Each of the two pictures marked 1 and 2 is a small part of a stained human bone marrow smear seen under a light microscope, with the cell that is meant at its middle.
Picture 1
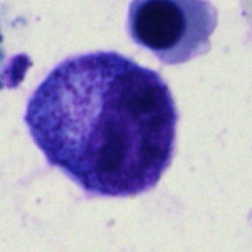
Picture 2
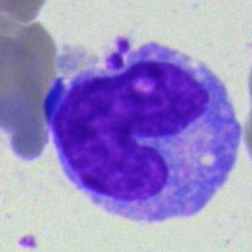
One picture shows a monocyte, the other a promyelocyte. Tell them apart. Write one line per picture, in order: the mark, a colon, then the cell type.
1: promyelocyte
2: monocyte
